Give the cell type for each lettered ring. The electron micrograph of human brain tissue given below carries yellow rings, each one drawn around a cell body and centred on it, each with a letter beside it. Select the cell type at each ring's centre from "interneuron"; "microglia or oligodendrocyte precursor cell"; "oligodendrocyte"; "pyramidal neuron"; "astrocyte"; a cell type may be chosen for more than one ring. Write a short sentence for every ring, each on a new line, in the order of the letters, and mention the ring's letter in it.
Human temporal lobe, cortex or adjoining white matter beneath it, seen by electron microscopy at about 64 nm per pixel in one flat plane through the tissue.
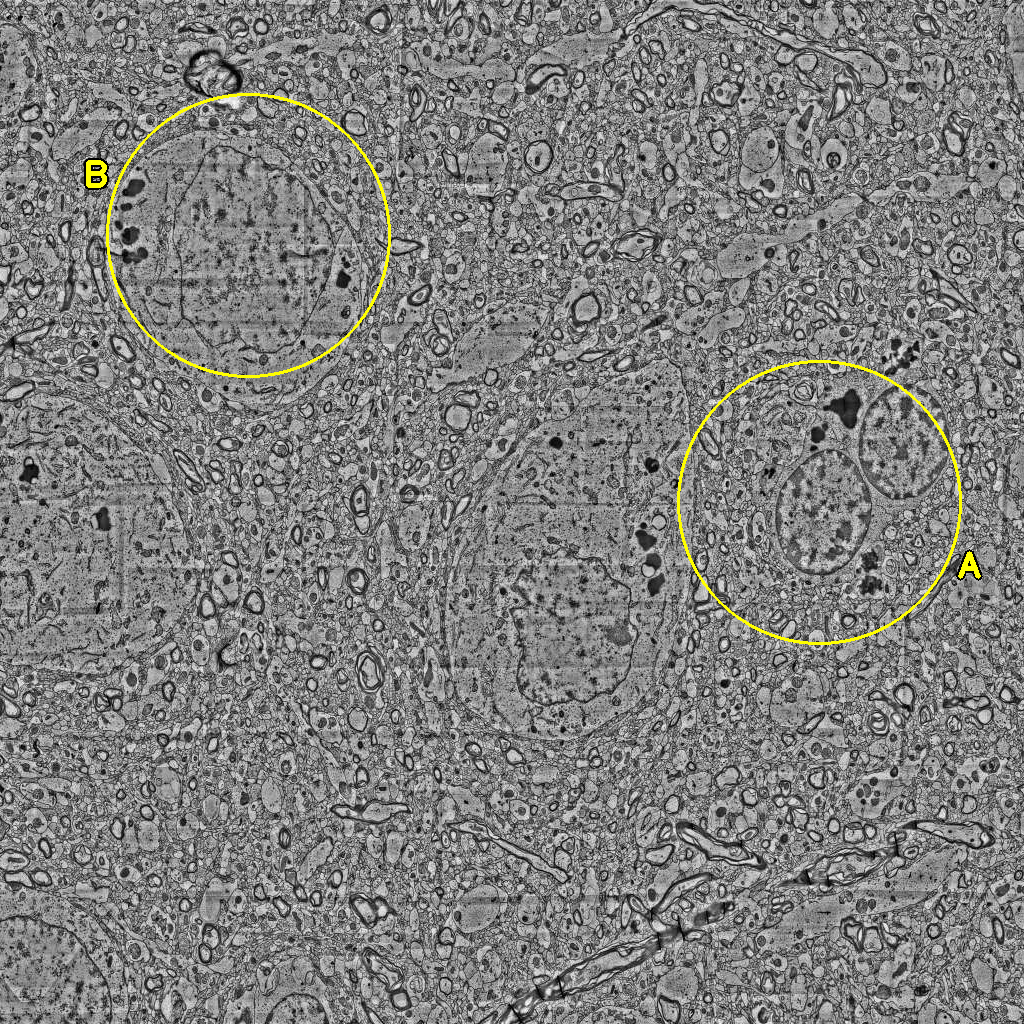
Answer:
The cell type for ring A is an oligodendrocyte.
The cell type for ring B is a pyramidal neuron.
